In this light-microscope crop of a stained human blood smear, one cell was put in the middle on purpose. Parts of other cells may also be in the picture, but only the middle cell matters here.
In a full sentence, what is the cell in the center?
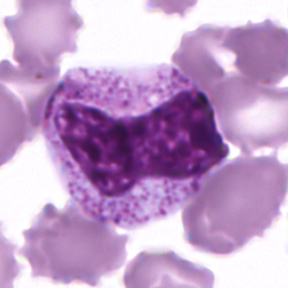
The cell centred in this crop is categorized as a metamyelocyte.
